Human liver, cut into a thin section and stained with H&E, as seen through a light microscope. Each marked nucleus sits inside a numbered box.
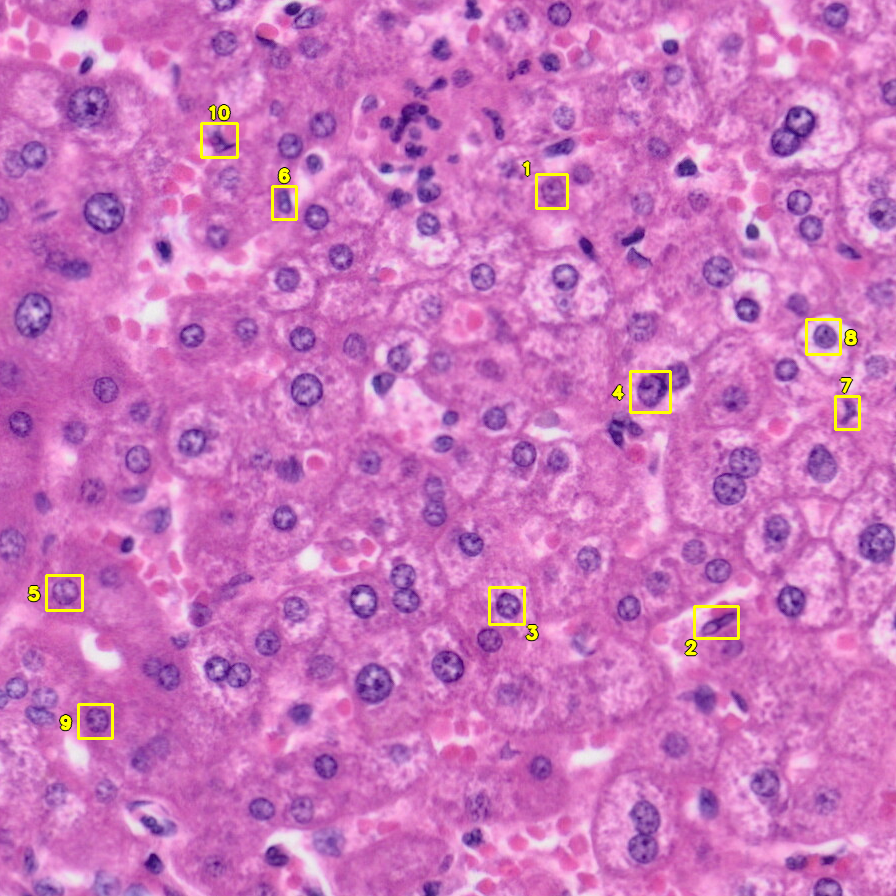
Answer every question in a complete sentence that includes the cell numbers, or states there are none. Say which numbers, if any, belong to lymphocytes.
The marked and numbered cells comprise no lymphocytes.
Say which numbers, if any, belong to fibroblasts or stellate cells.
Only the cell numbered 6 is a fibroblast or stellate cell, and the others are something else.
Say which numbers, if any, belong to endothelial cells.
Identification: the cells with numbers 7 and 10 are endothelial cells.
